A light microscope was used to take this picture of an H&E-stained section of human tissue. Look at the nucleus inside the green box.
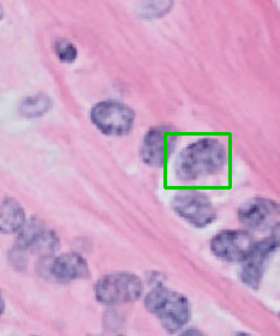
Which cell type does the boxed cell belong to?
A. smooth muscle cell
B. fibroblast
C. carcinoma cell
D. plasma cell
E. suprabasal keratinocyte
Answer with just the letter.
C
